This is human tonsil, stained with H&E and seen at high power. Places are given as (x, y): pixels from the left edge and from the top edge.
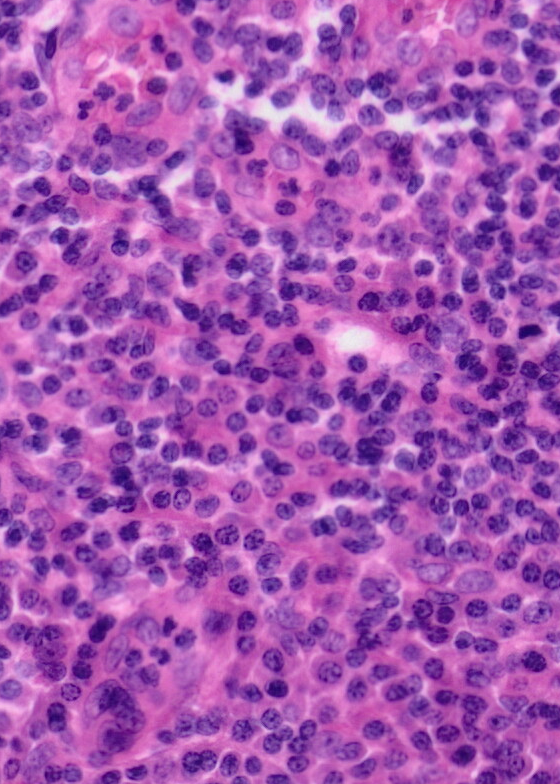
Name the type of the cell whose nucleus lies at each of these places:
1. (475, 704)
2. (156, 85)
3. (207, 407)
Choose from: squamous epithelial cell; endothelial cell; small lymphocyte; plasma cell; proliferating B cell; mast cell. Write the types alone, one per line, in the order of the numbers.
plasma cell
endothelial cell
plasma cell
